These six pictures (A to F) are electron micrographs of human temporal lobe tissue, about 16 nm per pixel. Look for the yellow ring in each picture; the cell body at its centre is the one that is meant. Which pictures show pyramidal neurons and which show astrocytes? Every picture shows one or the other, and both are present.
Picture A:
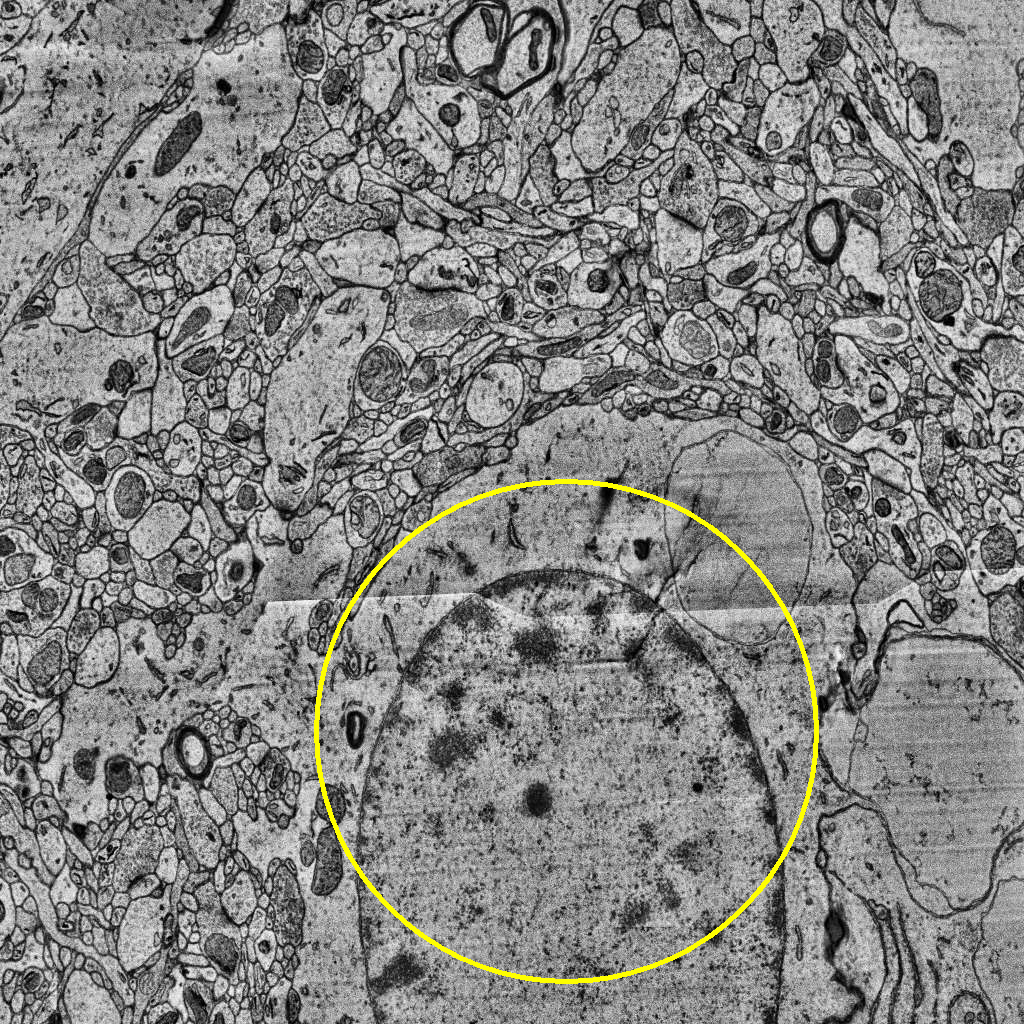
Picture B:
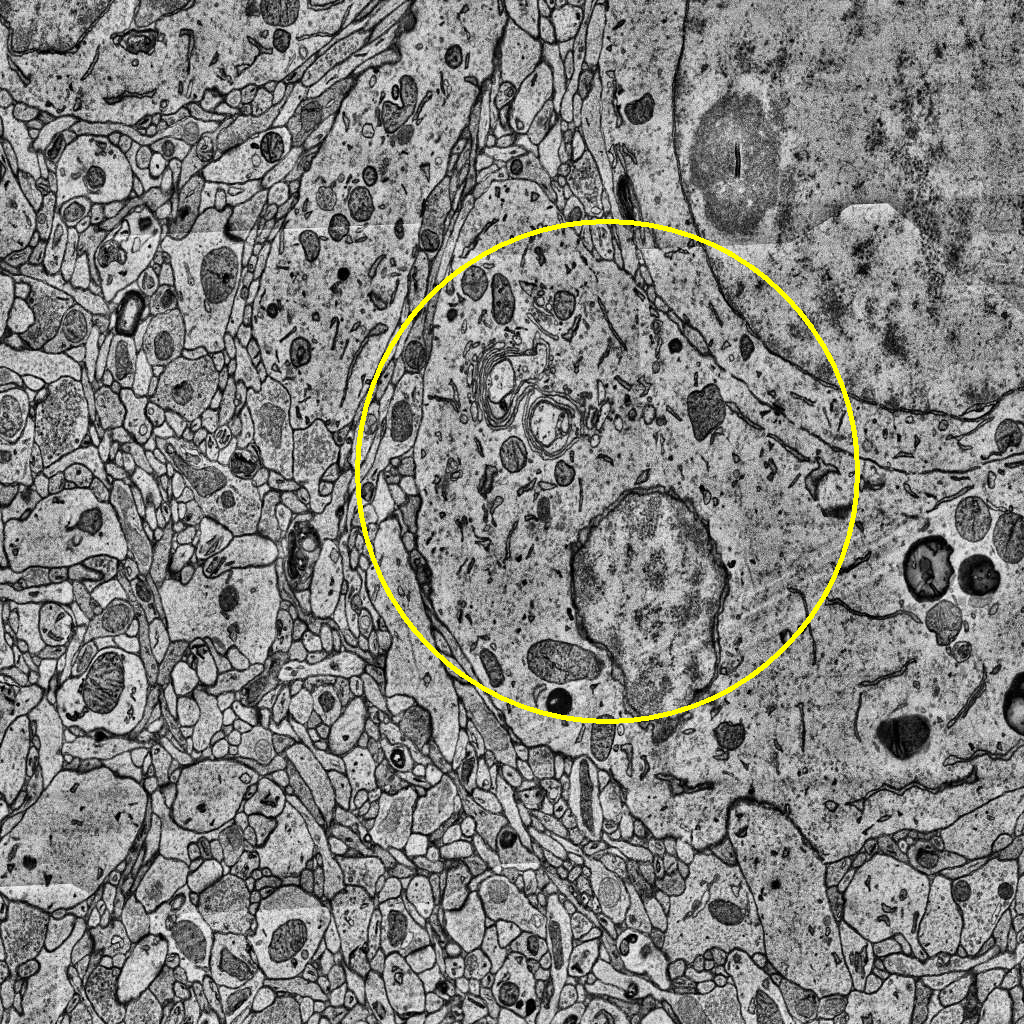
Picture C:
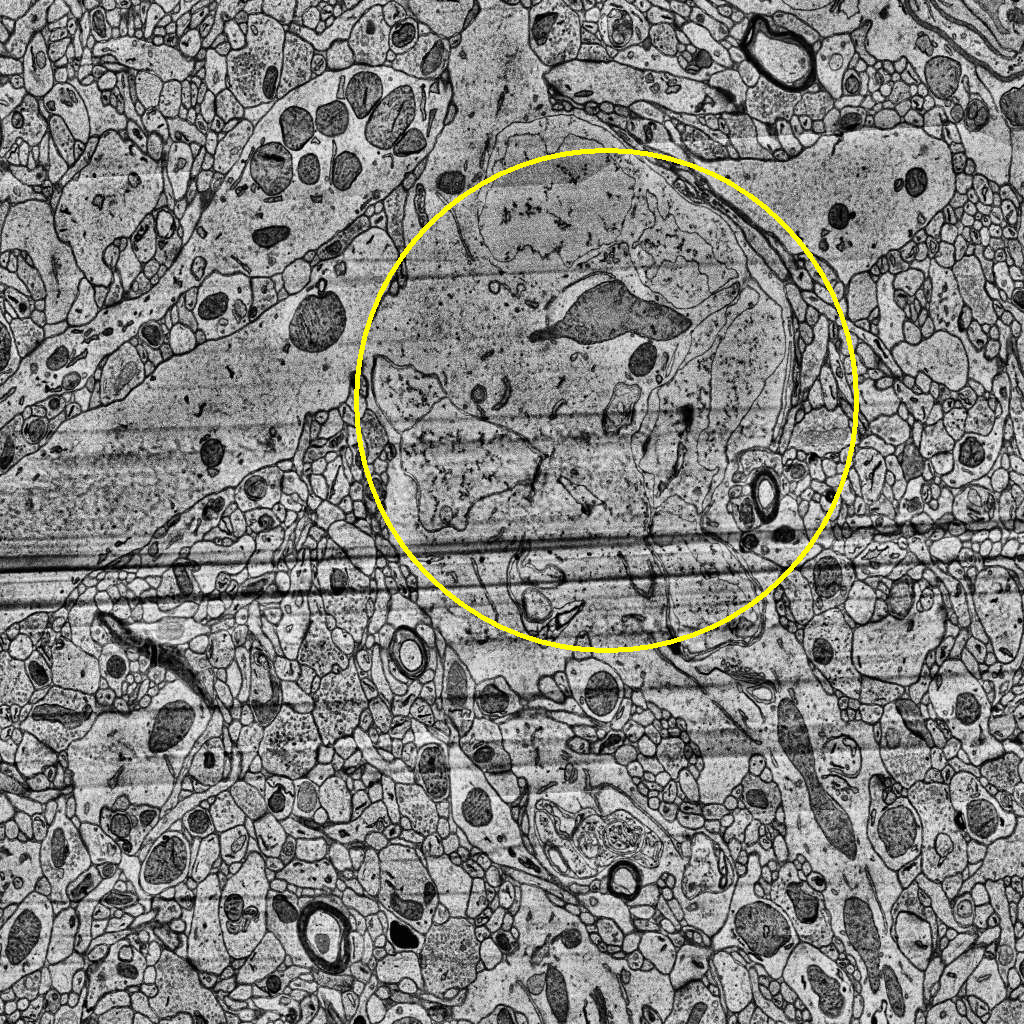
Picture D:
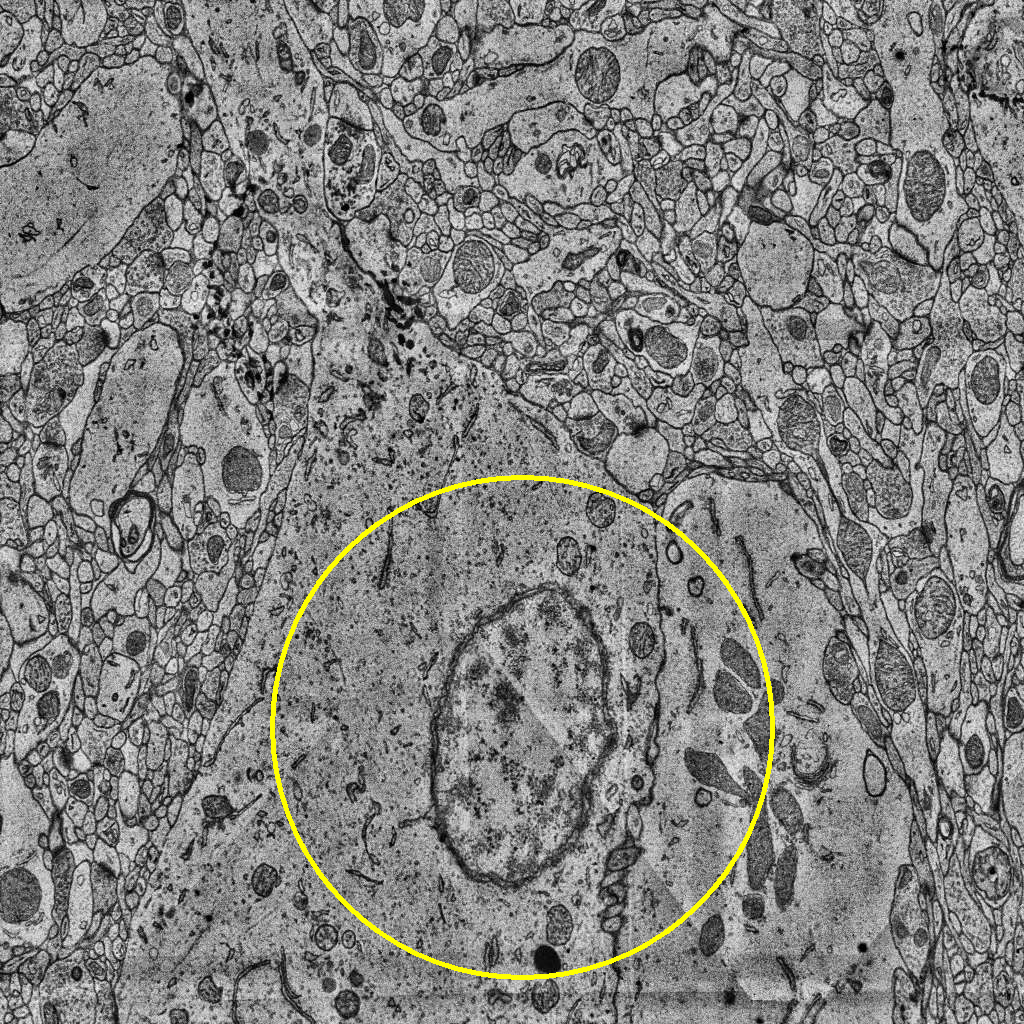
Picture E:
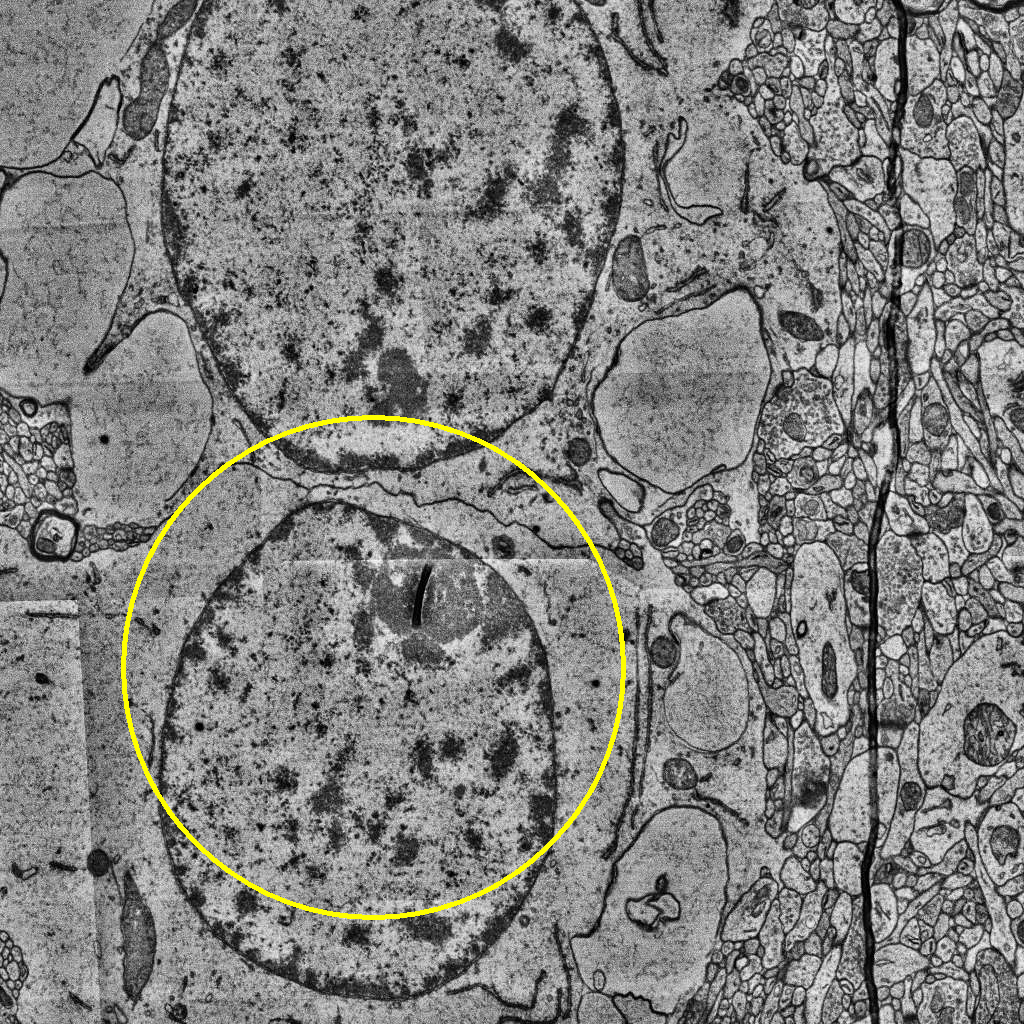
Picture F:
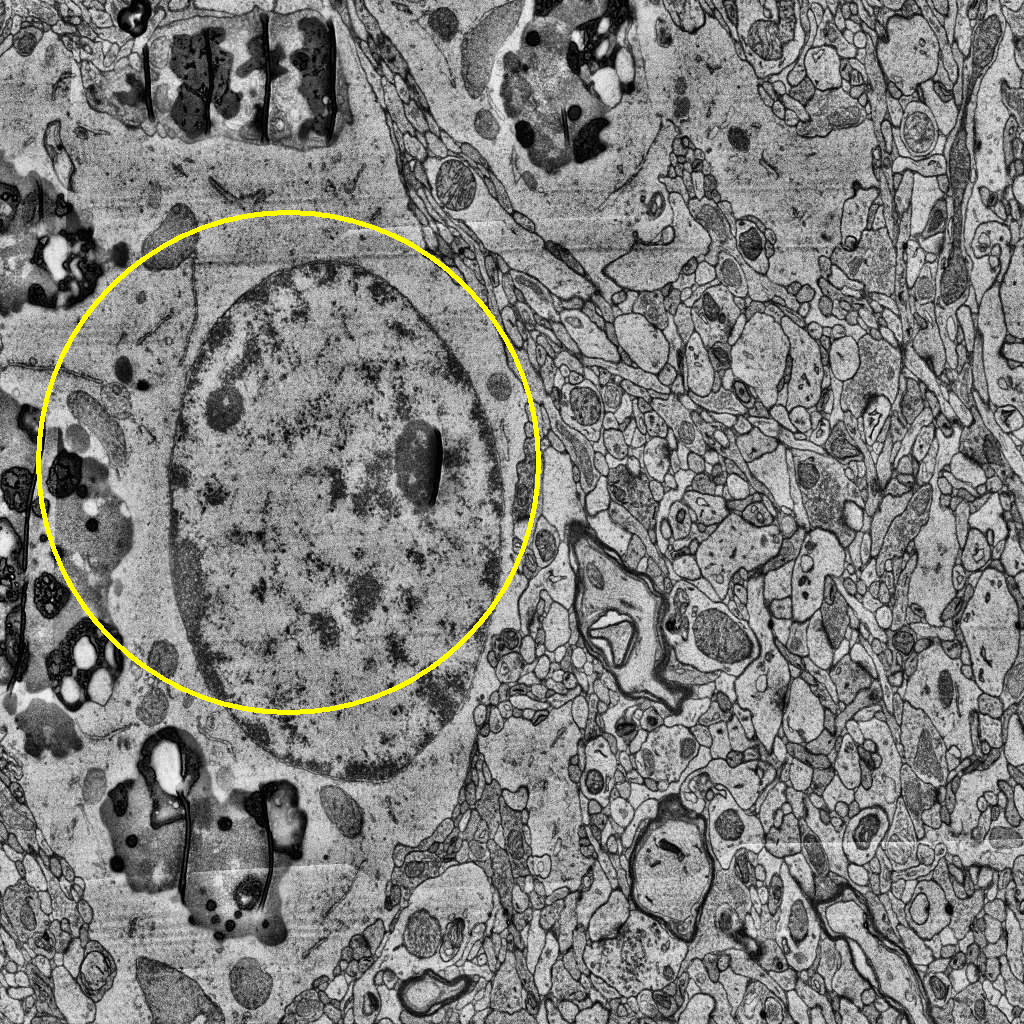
Pictures B and D show pyramidal neurons, and pictures A, C, E and F show astrocytes.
